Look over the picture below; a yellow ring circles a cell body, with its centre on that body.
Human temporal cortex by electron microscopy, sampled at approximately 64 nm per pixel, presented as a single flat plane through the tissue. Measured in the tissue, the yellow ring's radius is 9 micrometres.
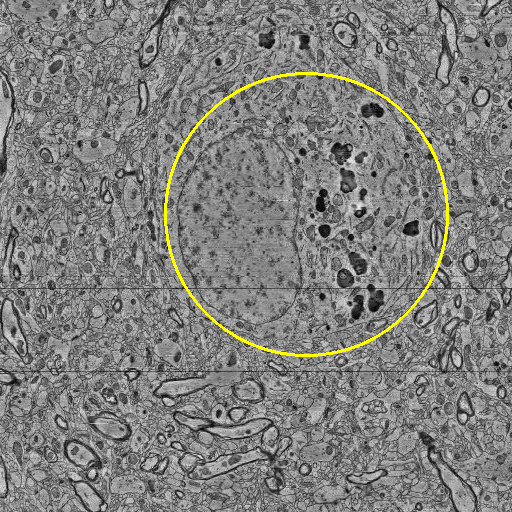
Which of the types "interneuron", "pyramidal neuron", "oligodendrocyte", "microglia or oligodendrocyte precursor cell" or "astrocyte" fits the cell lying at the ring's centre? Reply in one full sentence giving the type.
The picture shows an interneuron at the centre of the yellow ring.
